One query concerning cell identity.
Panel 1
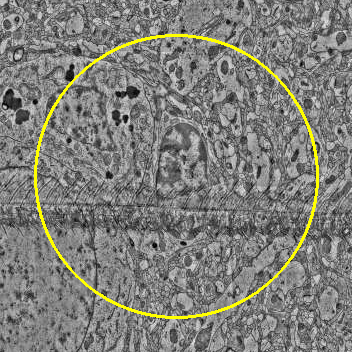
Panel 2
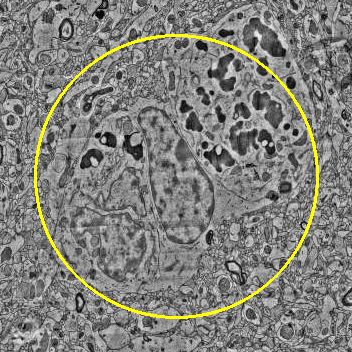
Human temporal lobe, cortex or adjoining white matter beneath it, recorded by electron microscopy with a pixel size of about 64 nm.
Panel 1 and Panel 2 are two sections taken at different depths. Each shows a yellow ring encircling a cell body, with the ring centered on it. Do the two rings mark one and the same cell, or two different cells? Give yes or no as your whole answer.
no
